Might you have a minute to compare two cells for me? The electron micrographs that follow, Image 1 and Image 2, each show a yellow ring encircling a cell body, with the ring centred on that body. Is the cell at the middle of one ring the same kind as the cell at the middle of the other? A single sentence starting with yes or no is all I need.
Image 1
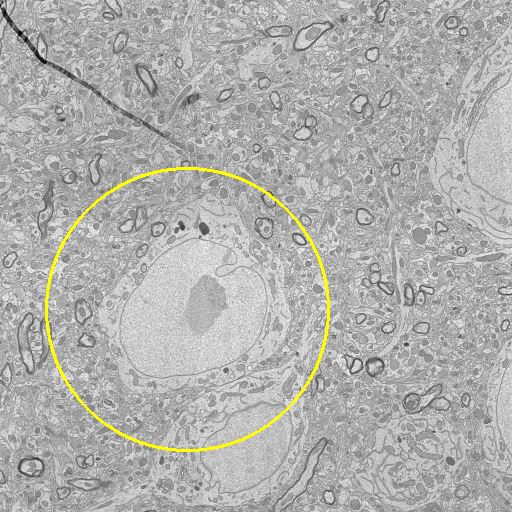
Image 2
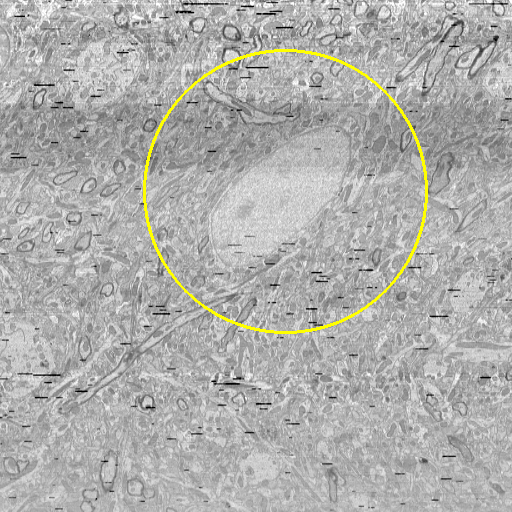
No, the cells in the middle of the two rings are of two separate kinds.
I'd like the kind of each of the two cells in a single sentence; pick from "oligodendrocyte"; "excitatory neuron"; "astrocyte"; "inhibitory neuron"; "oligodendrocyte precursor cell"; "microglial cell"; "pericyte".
The first ring marks an excitatory neuron, and the second ring marks an astrocyte.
